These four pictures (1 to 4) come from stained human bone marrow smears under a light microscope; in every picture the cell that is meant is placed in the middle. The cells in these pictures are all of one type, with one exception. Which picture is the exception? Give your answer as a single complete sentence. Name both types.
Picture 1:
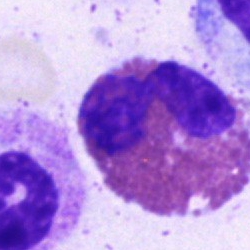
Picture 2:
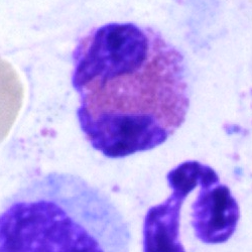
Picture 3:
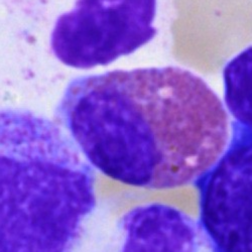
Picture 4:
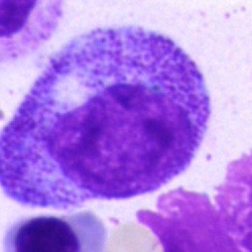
Unlike the rest, which show eosinophils, picture 4 shows a promyelocyte.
